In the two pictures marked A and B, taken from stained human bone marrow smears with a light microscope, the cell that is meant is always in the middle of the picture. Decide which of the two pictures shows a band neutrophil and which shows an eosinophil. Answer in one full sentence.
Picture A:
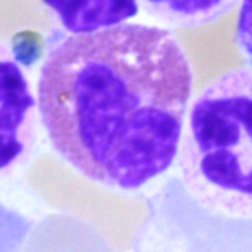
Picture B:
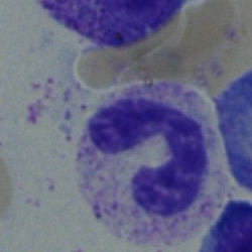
Picture B shows a band neutrophil, while picture A shows an eosinophil.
